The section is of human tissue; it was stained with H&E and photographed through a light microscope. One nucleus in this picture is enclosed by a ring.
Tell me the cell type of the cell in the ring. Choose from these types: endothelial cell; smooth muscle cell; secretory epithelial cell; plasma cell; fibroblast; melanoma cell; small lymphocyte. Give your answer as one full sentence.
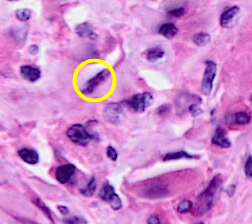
For cell typing purposes, the cell in the ring is an endothelial cell.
